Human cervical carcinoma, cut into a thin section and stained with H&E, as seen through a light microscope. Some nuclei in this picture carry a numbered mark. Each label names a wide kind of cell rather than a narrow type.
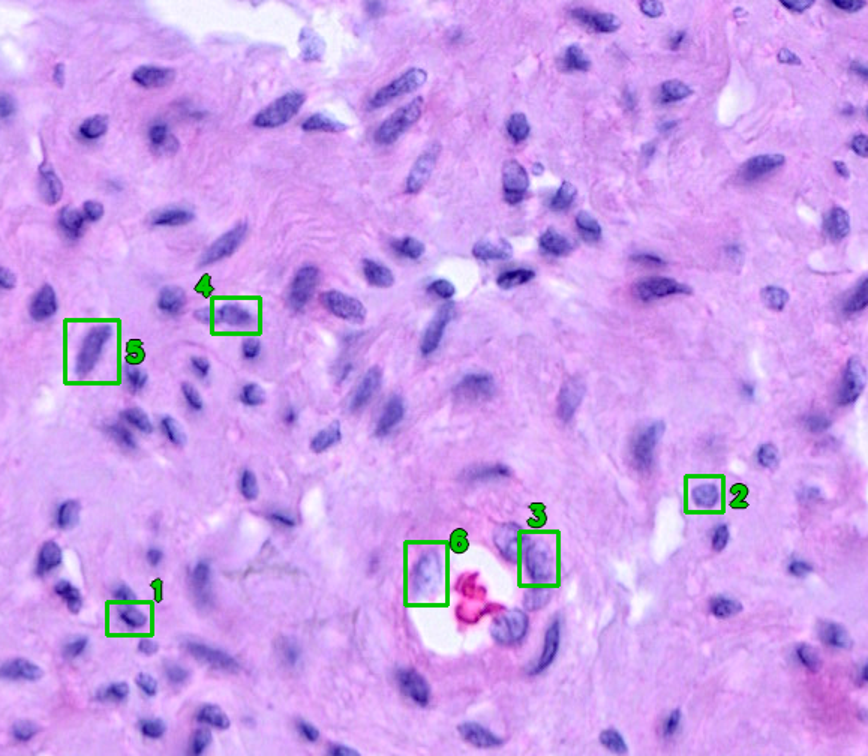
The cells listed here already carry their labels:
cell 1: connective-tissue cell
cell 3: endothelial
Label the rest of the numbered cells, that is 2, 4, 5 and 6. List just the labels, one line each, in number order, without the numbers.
connective-tissue cell
connective-tissue cell
connective-tissue cell
endothelial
